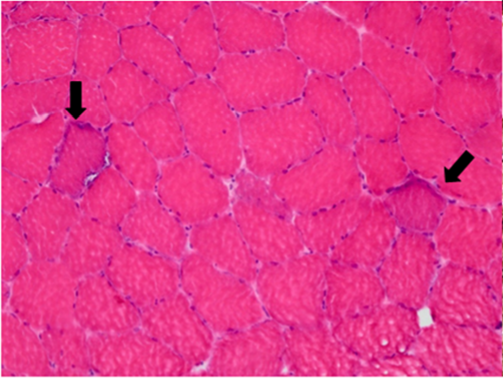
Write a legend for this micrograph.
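This is skeletal muscle in cross-section, with closely packed polygonal pink fibers and small dark nuclei at their edges. A few fibers stand out with darker, purplish, granular material gathered under their borders, the look of ragged red fibers.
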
